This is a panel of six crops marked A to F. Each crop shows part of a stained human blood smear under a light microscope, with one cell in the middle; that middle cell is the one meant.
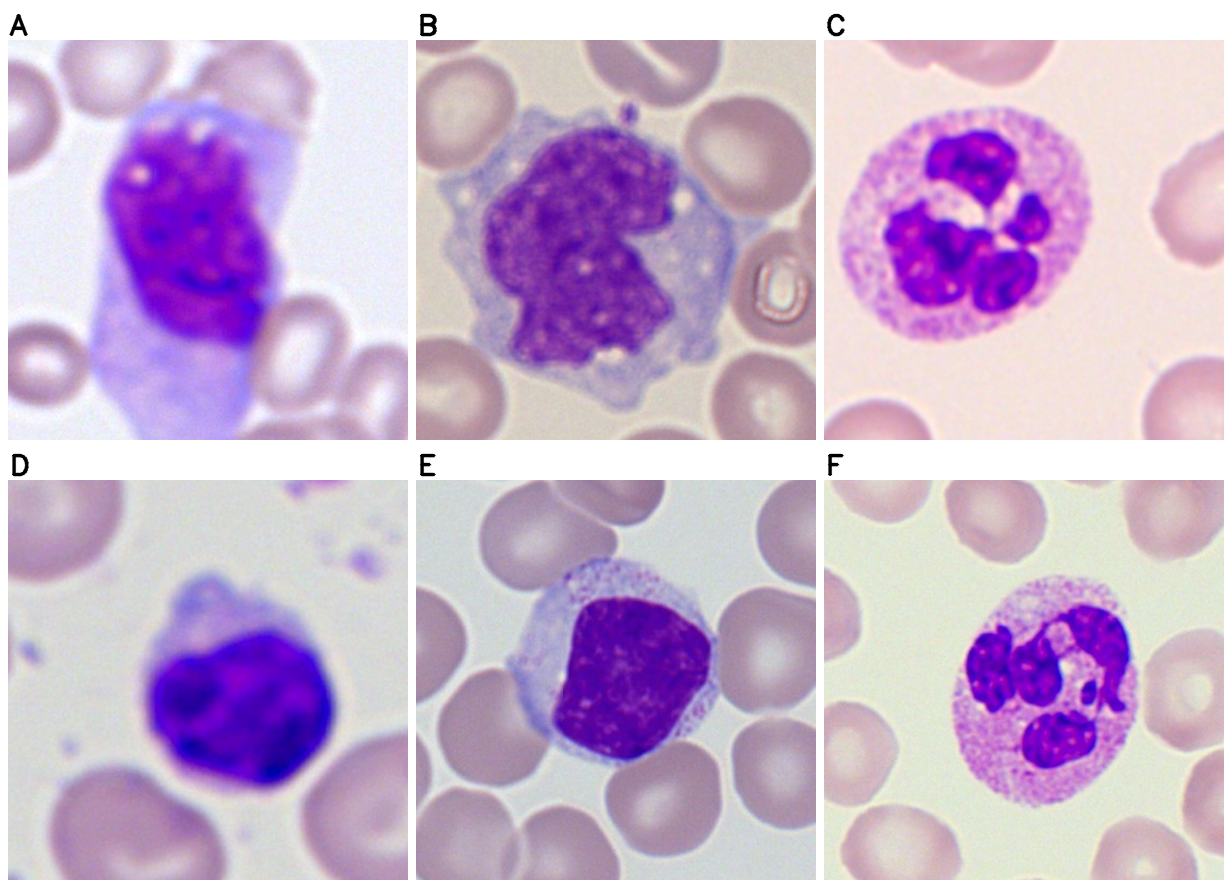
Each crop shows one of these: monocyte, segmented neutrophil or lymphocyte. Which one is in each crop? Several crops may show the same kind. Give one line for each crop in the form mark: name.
A: monocyte
B: monocyte
C: segmented neutrophil
D: lymphocyte
E: lymphocyte
F: segmented neutrophil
